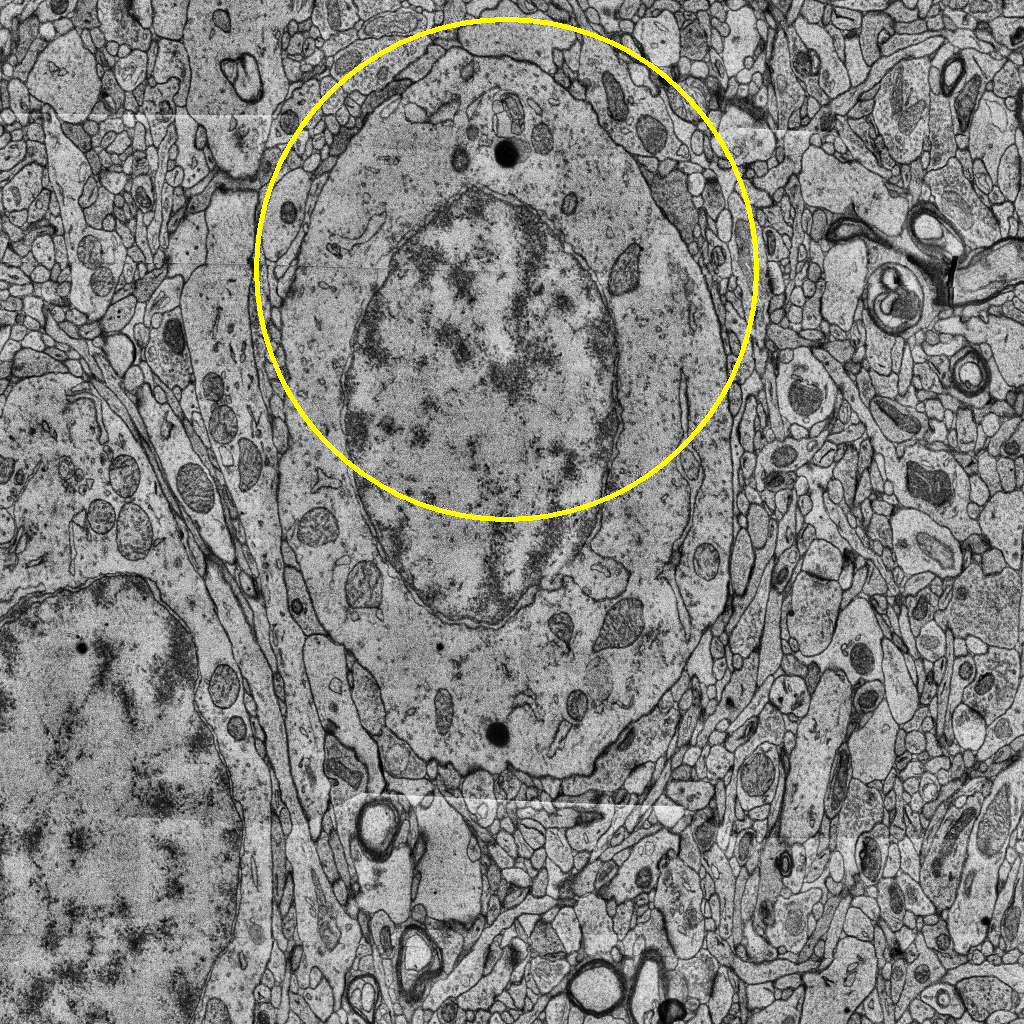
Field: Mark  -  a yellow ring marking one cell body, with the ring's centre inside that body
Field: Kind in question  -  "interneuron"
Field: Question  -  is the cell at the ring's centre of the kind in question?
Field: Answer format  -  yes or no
no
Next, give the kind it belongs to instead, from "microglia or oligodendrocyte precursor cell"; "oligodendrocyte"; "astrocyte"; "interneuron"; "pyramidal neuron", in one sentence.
The cell circled by the yellow ring is a pyramidal neuron.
